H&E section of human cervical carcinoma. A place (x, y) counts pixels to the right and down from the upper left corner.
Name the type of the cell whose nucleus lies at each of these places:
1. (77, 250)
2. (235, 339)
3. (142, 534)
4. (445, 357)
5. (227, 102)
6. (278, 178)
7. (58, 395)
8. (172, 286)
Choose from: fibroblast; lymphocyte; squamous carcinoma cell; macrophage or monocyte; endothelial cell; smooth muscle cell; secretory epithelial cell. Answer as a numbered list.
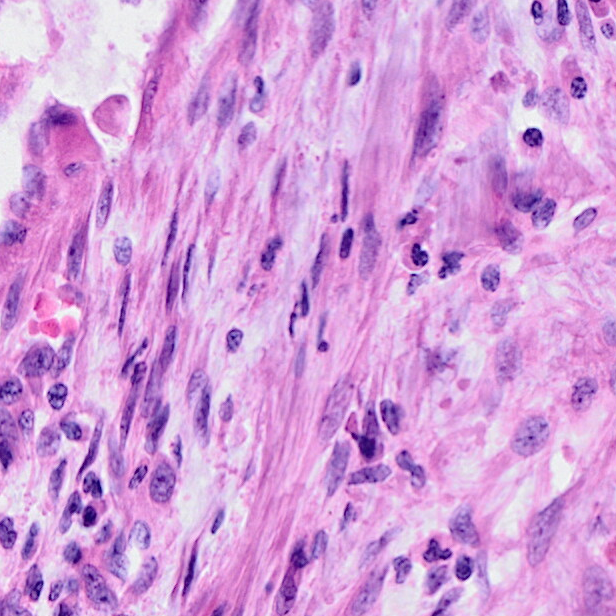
1. fibroblast
2. lymphocyte
3. endothelial cell
4. fibroblast
5. fibroblast
6. fibroblast
7. lymphocyte
8. fibroblast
